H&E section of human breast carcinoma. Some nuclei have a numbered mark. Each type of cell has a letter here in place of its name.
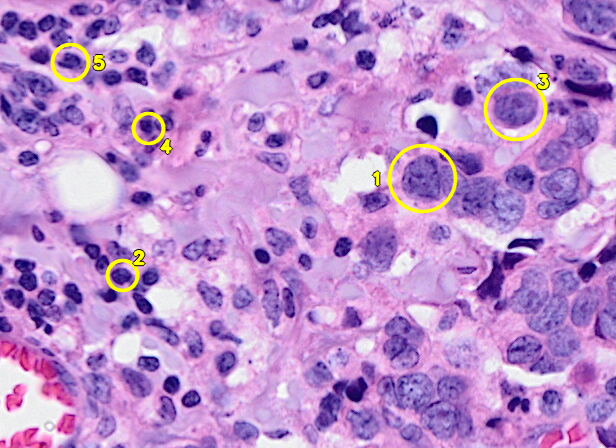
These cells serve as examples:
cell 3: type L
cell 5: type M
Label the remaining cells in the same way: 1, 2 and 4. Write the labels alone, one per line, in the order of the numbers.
type L
type M
type M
